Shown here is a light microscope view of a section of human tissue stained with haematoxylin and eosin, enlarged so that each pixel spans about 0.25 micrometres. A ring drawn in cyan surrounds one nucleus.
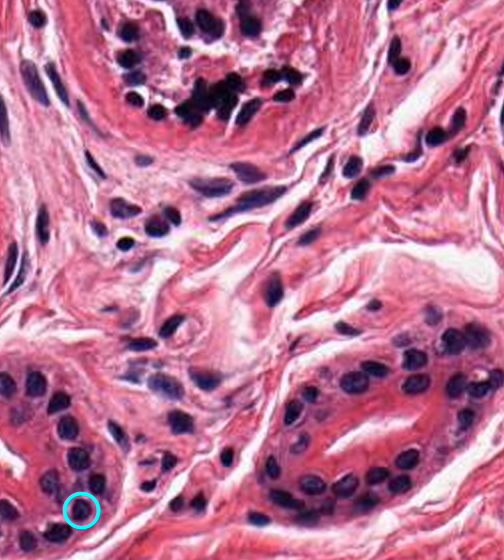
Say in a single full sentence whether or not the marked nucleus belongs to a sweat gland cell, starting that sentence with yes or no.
Yes, the marked nucleus is part of a sweat gland cell.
